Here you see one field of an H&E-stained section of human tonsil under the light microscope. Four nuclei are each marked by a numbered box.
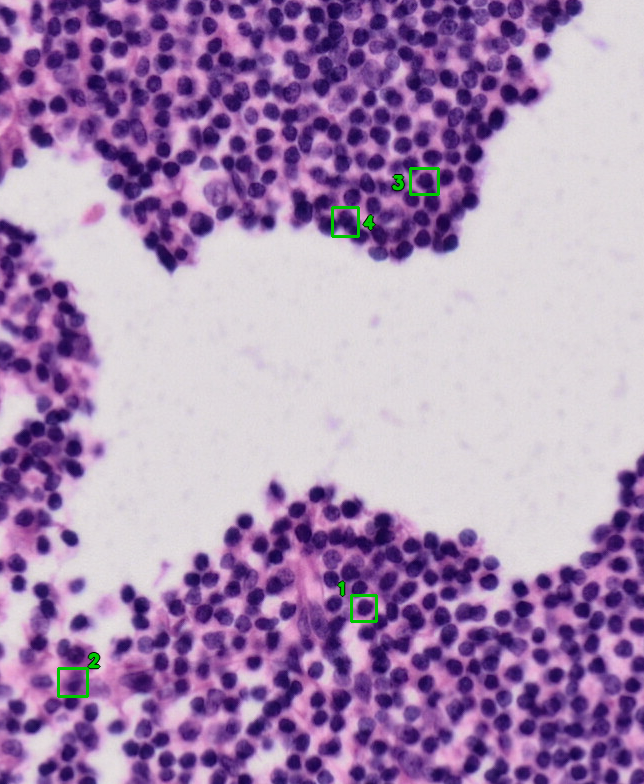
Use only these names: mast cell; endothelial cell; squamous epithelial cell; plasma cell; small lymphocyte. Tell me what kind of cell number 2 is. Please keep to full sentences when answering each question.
The marked nucleus 2 is that of an endothelial cell.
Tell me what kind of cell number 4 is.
In this section, the cell numbered 4 is a small lymphocyte.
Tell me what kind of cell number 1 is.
The marked cell bearing number 1 is a small lymphocyte.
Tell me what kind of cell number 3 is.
Heads up, the cell numbered 3 is a small lymphocyte.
